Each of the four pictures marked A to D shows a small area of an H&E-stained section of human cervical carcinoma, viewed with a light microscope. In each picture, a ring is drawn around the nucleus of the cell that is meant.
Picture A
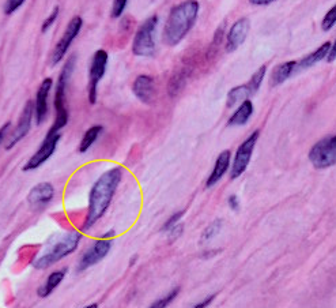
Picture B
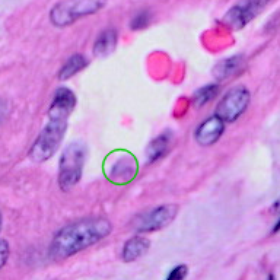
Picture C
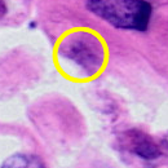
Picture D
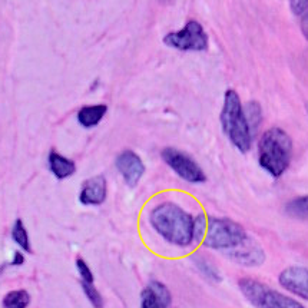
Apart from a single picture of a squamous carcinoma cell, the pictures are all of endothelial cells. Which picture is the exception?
C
